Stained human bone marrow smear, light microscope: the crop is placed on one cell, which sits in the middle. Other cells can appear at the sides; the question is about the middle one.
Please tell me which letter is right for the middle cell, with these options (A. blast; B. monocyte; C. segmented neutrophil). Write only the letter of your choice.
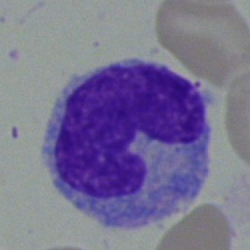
B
